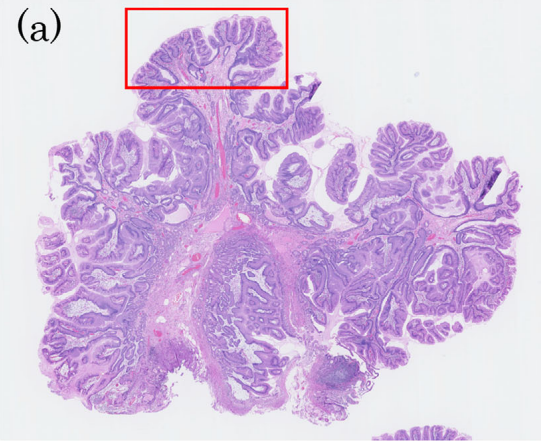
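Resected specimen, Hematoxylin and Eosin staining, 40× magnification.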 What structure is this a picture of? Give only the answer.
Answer: Papillary and villous structures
